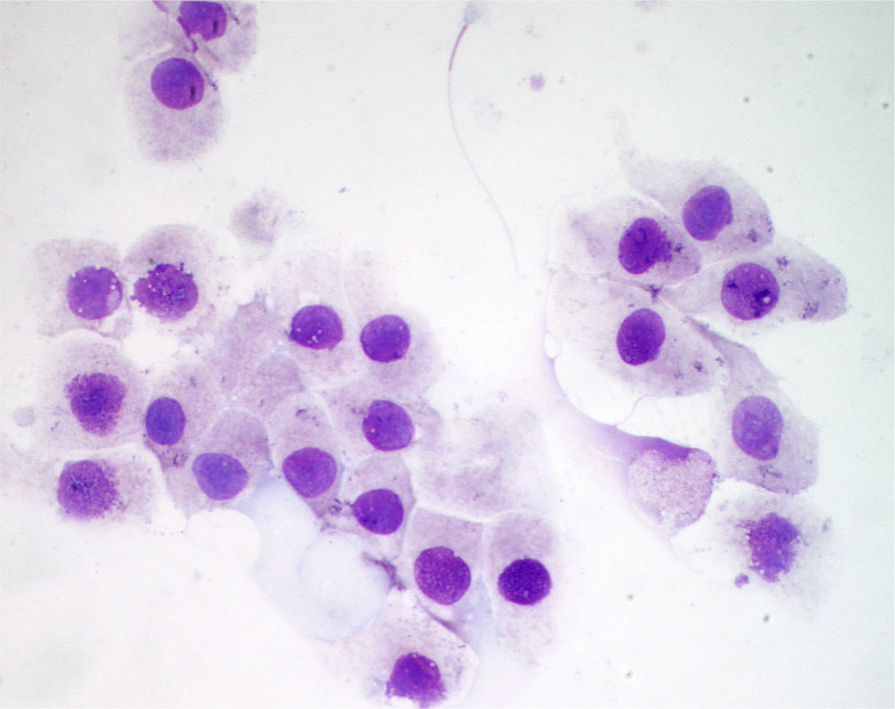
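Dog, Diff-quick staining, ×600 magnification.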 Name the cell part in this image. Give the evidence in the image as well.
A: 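Round nucleus. Each cell has a single purple nucleus that is round to slightly oval. The nuclei are of similar size from cell to cell. Each nucleus is surrounded by a broad rim of paler cytoplasm.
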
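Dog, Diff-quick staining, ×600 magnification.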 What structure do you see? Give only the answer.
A: Small clusters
